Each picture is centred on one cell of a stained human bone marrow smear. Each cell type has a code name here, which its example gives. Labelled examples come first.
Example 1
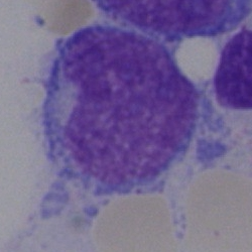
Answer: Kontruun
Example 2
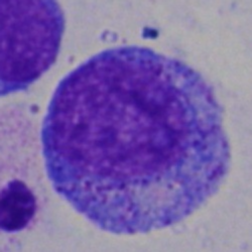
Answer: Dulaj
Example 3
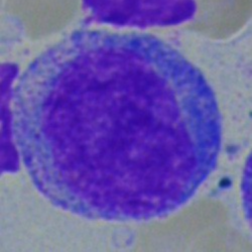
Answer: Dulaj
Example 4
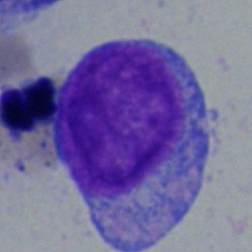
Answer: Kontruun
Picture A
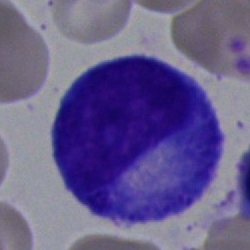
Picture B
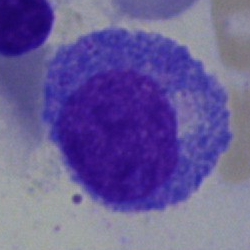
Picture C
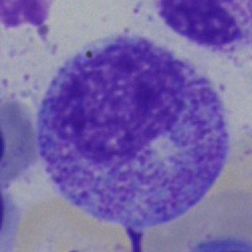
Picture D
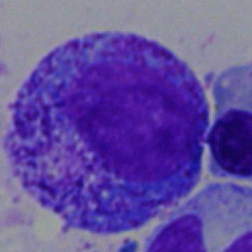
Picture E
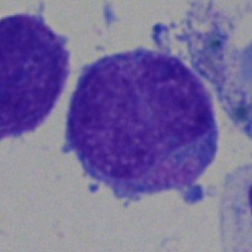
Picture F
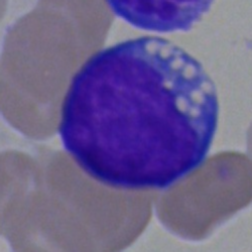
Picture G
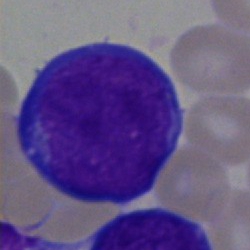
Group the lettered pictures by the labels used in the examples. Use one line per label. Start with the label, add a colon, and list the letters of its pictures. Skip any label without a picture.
Kontruun: E, F, G
Dulaj: A, B, C, D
